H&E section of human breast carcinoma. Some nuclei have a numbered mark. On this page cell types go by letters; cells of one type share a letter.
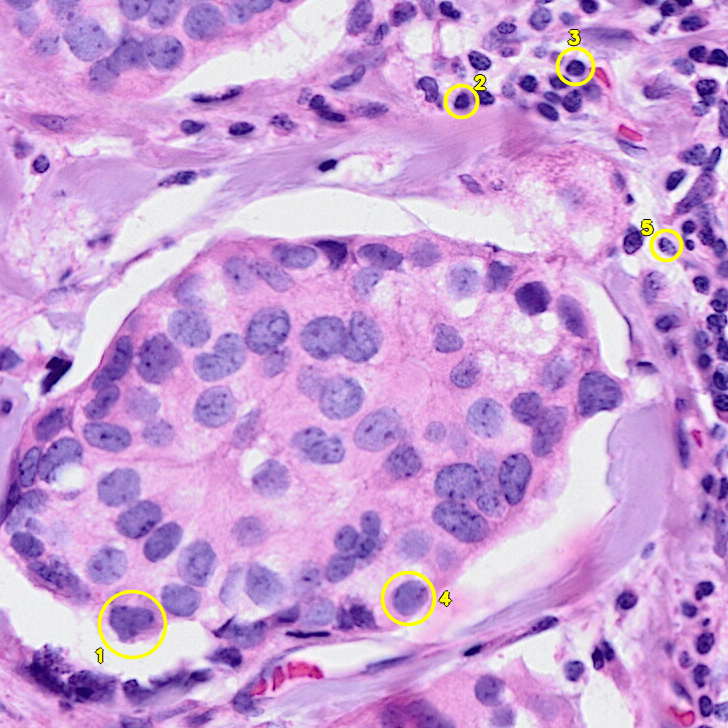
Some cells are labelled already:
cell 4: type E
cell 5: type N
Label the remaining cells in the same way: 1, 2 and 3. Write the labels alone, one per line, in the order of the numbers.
type E
type N
type N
